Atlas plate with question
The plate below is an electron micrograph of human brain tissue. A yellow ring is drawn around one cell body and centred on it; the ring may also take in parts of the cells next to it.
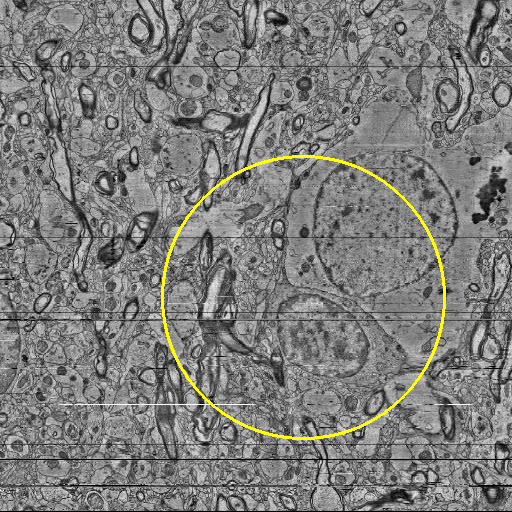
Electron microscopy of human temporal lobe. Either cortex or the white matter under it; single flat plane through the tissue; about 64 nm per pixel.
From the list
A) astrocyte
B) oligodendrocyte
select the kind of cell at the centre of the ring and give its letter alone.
B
